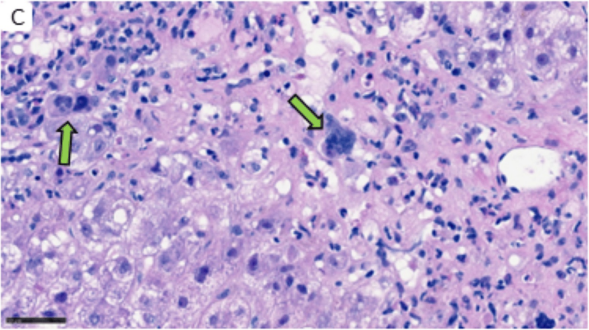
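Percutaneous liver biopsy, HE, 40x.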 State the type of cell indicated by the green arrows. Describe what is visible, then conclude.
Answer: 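The arrowed cells hold two or more dark nuclei within one cytoplasm. They lie among large pale hepatocytes.
Multinucleated cells.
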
